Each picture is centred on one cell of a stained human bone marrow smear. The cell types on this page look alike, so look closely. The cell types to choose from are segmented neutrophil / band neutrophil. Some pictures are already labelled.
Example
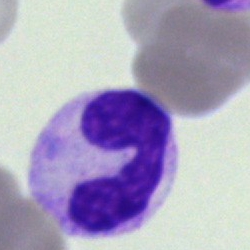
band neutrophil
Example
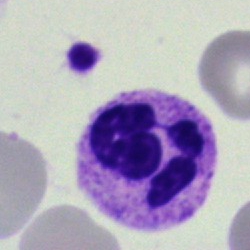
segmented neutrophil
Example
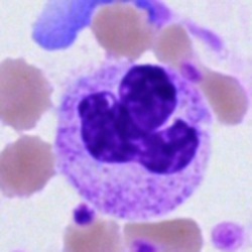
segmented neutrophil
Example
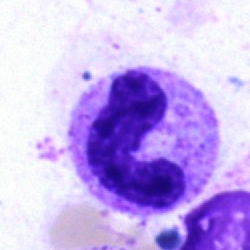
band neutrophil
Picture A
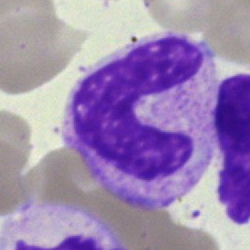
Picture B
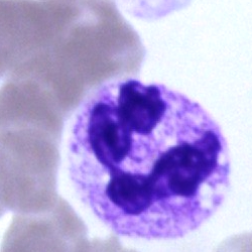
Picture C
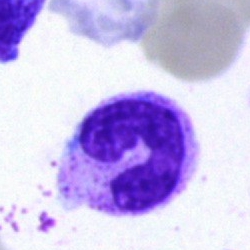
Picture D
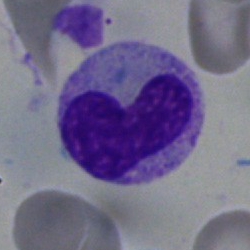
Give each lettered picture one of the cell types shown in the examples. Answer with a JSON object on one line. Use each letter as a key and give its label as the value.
{"A": "band neutrophil", "B": "segmented neutrophil", "C": "band neutrophil", "D": "band neutrophil"}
